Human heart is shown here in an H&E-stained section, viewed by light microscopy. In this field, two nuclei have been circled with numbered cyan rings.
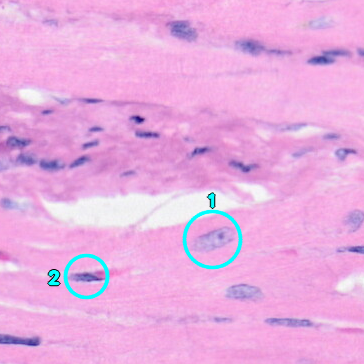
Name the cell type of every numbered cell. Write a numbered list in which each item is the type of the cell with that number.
1. cardiomyocyte
2. endothelial cell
